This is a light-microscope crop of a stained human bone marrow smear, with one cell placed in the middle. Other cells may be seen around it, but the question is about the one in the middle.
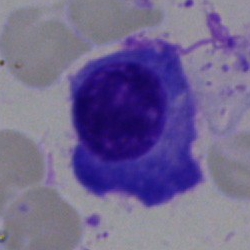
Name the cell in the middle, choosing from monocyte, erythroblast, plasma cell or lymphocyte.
plasma cell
